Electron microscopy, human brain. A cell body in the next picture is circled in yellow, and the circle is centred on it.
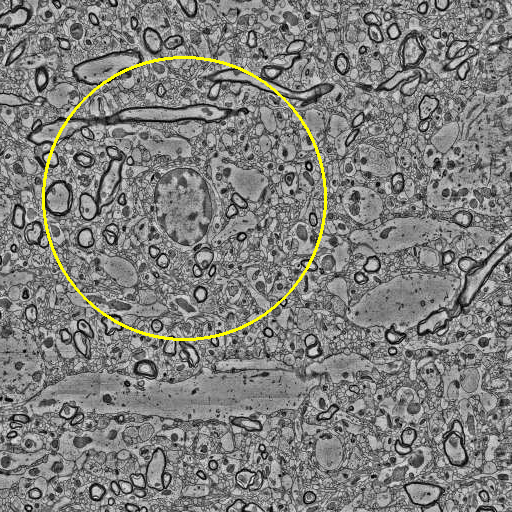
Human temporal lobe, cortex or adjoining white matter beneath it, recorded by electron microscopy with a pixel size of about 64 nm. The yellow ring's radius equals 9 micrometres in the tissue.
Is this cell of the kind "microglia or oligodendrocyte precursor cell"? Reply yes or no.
yes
